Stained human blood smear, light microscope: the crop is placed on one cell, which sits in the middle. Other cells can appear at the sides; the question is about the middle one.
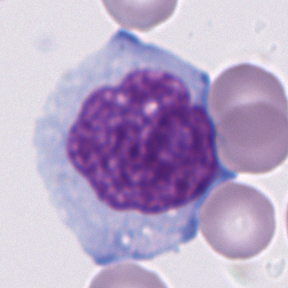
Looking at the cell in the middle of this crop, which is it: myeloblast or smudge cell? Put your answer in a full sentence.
The crop's centre is taken up by a myeloblast.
